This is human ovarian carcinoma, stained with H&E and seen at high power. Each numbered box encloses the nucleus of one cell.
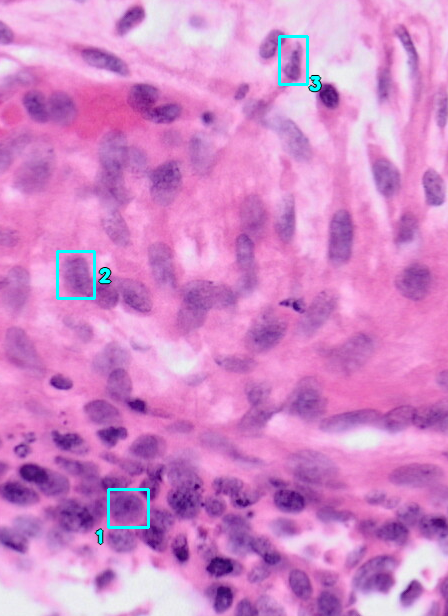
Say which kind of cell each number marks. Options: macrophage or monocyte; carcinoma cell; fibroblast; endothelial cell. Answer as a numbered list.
1. carcinoma cell
2. fibroblast
3. fibroblast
